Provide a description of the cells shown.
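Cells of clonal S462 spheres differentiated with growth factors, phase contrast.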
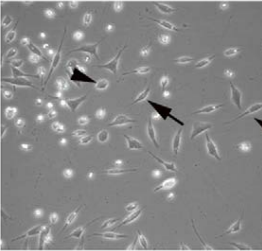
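Most cells are slender and spindle-shaped, each with a thin tapering process at either end, and they lie loosely scattered over the dish. Between them are small round, bright refractile cells that have not spread out. The spindle cells do not form a sheet, leaving much empty space between them.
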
